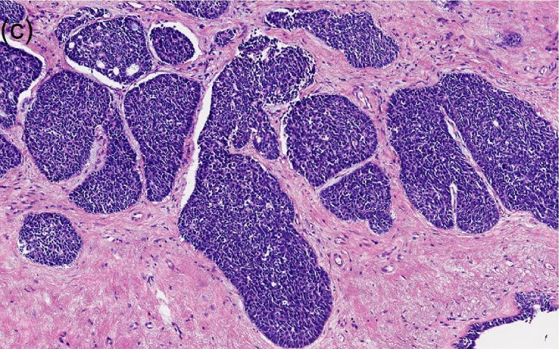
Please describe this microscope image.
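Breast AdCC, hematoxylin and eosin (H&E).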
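Large solid, rounded nests of crowded small basaloid tumour cells with dark purple nuclei and scant cytoplasm are set in pink fibrous stroma. The nests show few luminal spaces, forming a solid growth pattern.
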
